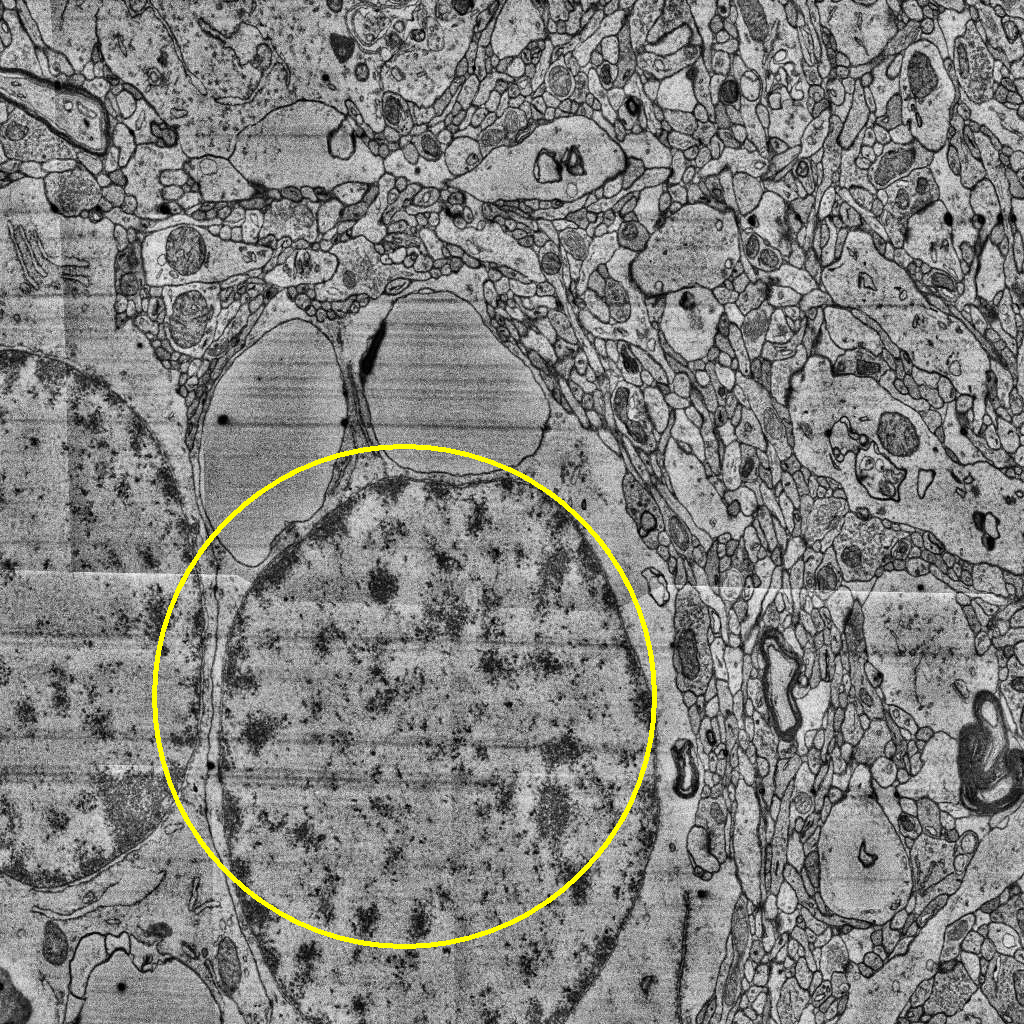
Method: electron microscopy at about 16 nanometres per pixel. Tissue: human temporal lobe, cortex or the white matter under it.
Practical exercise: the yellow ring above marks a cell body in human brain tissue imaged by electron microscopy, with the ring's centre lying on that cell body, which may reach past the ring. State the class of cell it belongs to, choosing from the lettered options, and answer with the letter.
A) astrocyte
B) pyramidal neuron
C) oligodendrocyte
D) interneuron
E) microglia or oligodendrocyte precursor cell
A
